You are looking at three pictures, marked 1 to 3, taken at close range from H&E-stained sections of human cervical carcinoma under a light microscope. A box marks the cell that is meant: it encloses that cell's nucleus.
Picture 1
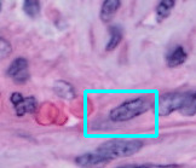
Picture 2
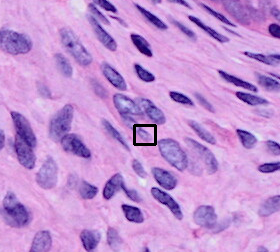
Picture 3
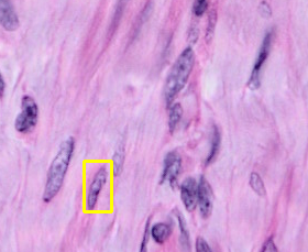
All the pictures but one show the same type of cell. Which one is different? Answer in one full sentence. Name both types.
Picture 3 differs, because its cell is a smooth muscle cell and the rest are endothelial cells.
